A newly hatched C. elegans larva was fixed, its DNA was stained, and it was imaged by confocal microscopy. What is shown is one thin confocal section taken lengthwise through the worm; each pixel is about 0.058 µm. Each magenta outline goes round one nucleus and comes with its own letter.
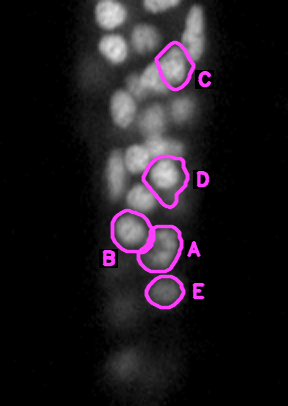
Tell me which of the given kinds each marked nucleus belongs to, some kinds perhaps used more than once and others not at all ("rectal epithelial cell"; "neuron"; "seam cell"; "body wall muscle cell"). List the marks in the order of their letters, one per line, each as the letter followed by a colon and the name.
A: seam cell
B: neuron
C: rectal epithelial cell
D: neuron
E: neuron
